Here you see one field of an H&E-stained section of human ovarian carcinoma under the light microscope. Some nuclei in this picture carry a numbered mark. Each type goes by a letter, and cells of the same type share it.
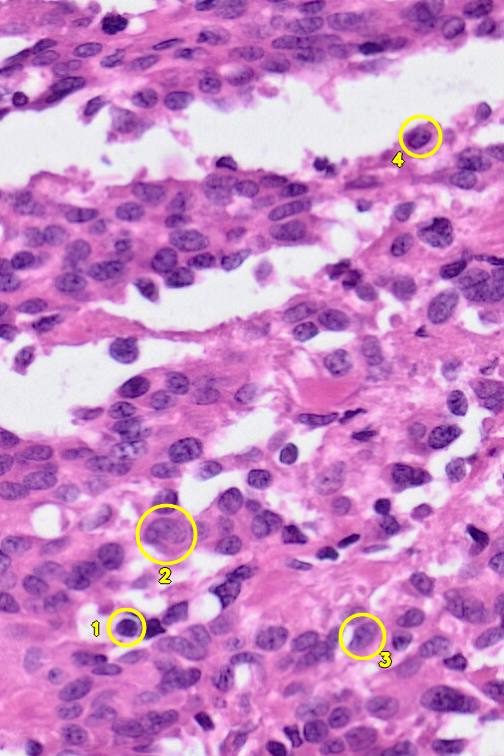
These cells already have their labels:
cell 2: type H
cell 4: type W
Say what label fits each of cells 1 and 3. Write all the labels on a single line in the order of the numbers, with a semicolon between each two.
type H; type H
